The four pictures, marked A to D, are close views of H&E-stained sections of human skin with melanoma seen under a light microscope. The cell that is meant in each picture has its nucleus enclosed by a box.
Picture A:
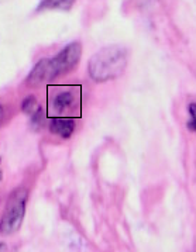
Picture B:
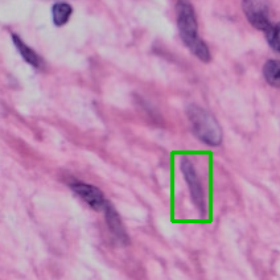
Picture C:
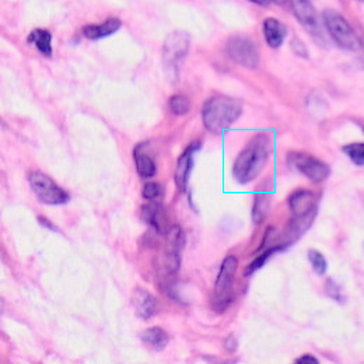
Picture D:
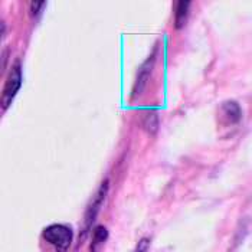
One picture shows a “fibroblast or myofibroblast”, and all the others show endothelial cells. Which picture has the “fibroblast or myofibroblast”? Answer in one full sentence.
The picture with the “fibroblast or myofibroblast” is B.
